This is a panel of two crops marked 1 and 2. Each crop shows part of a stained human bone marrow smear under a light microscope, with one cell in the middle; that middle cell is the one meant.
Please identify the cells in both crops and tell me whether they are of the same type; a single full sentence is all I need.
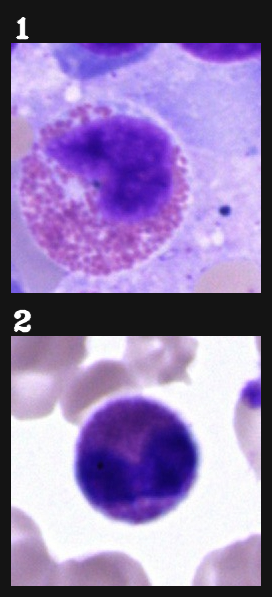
Yes, it is eosinophils that occupy the middle of both crops.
